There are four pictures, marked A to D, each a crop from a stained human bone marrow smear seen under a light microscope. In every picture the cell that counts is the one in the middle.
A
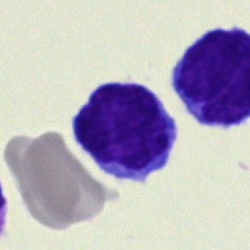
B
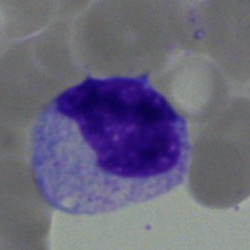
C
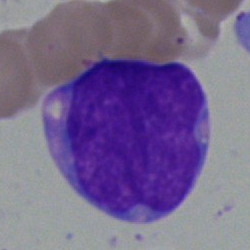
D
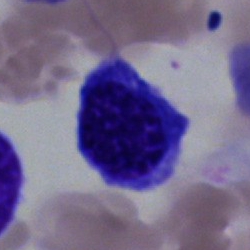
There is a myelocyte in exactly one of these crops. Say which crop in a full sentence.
The crop with a myelocyte in it is crop B.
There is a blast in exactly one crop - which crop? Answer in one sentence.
Among the crops provided, a blast occupies the center of crop C.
